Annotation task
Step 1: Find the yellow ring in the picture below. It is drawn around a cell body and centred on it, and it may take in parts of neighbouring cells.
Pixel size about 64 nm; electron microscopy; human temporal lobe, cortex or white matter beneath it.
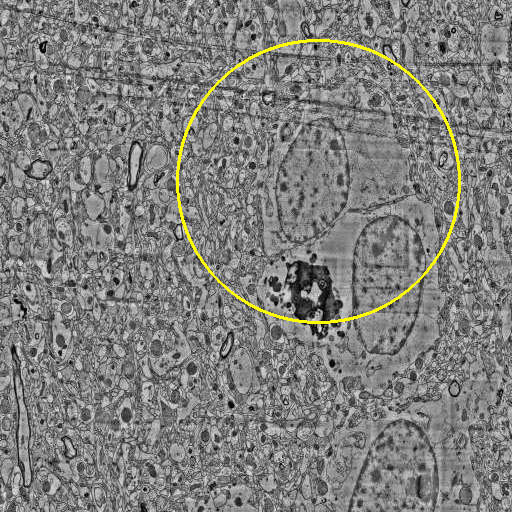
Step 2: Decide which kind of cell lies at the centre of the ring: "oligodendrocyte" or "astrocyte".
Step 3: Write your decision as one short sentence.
The kind of cell at the ring's centre is an astrocyte.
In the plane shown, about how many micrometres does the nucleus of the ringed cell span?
The ringed cell's nucleus is roughly 8 by 5 micrometres and clearly longer than it is wide in this plane.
